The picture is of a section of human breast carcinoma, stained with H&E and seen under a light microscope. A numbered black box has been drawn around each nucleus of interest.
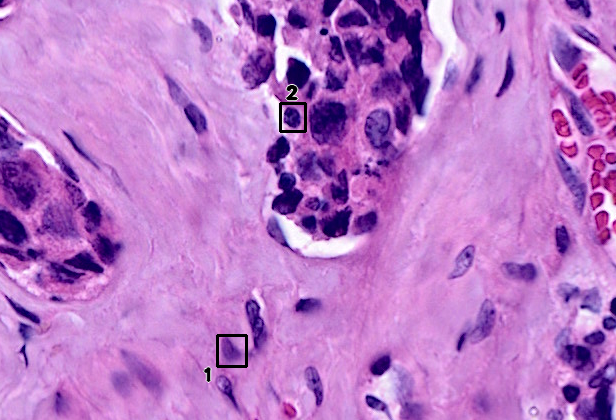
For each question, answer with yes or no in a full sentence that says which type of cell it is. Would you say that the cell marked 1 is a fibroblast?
Yes, the numbered cell 1 is a fibroblast.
